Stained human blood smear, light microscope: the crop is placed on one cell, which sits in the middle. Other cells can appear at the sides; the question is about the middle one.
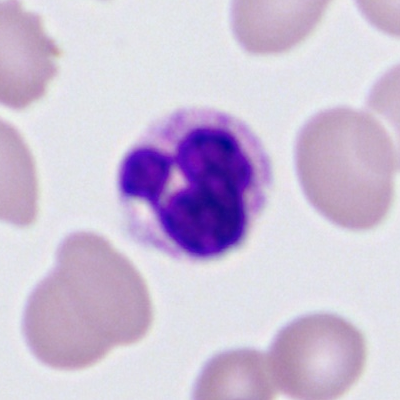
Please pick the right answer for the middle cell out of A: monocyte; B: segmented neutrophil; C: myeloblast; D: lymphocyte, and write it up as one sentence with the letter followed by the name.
Option B holds up: the cell in the middle is a segmented neutrophil.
